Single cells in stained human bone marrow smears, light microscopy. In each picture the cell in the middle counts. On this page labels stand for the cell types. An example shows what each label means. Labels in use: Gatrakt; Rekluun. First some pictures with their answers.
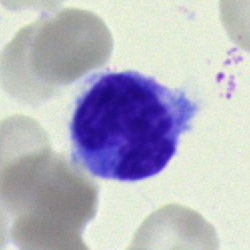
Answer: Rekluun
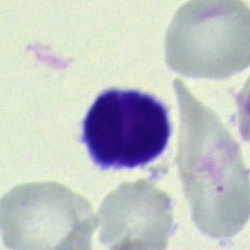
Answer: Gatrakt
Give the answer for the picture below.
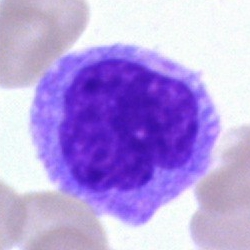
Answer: Rekluun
